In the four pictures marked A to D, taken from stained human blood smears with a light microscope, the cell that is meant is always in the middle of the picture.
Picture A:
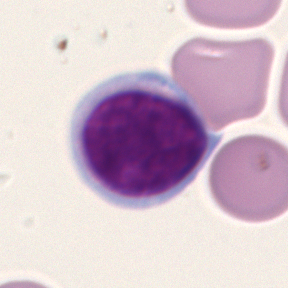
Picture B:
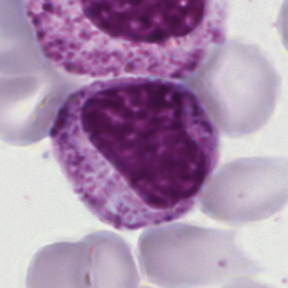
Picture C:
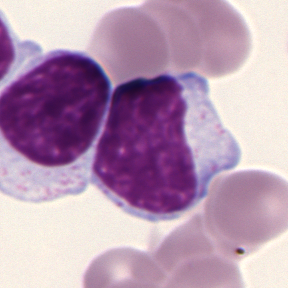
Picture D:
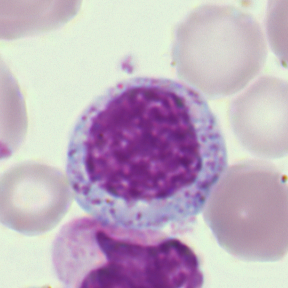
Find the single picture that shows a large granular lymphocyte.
C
